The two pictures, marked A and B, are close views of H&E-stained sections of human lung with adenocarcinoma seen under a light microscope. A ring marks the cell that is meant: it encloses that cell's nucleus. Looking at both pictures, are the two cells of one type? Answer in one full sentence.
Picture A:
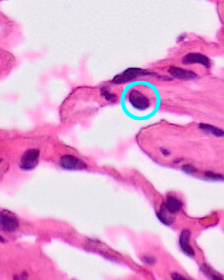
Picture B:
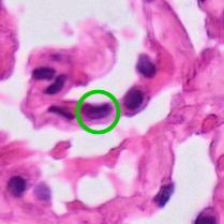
Yes, both are type I pneumocytes.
